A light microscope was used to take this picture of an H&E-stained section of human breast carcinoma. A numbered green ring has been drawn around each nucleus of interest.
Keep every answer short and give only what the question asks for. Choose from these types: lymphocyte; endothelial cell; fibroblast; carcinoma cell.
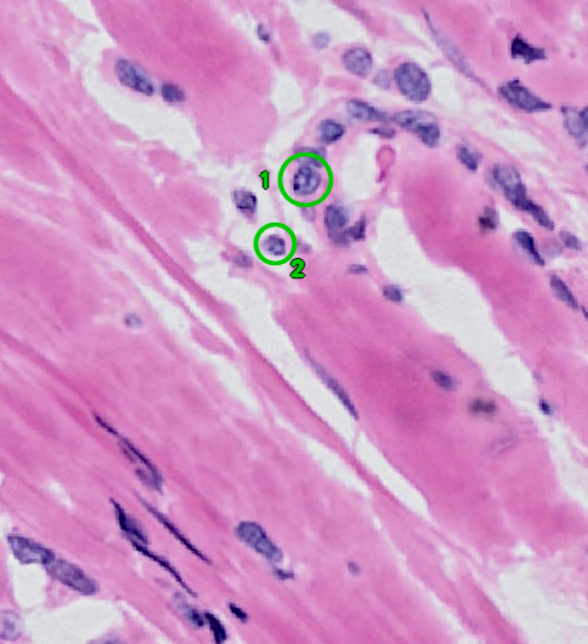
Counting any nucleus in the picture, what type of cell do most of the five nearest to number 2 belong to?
endothelial cell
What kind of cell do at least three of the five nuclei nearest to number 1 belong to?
endothelial cell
